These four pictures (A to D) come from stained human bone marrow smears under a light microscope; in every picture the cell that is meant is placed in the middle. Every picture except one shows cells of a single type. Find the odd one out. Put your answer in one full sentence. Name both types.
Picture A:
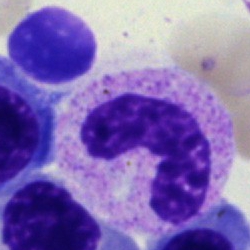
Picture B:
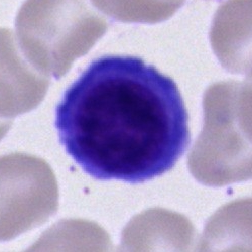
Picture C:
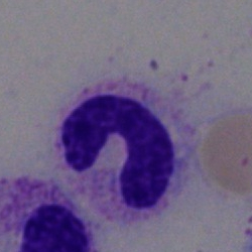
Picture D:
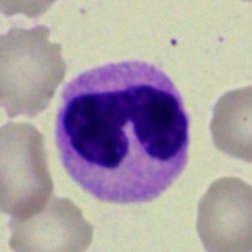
Unlike the rest, which show band neutrophils, picture B shows a plasma cell.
